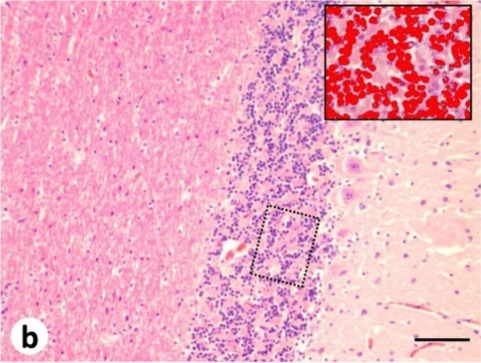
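This is cerebellar cortex with a broad granule cell layer that is densely packed with small, round, dark purple nuclei. To the right lies the pale pink molecular layer containing sparse small cells. To the left lies pink, fibrous tissue with scattered nuclei.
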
